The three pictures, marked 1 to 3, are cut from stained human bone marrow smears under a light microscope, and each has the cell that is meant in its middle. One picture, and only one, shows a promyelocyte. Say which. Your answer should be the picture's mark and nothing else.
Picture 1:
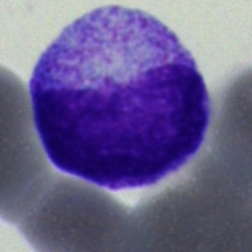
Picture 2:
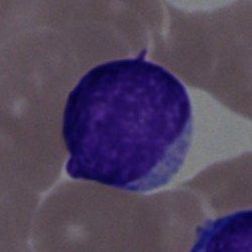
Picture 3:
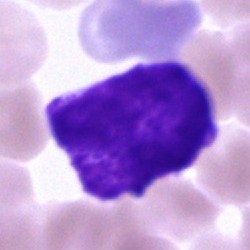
1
